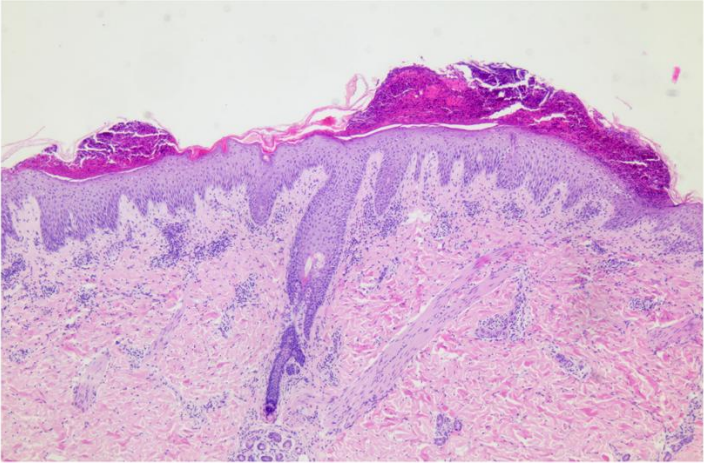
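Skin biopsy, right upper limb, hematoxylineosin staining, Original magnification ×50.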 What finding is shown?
Acanthosis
